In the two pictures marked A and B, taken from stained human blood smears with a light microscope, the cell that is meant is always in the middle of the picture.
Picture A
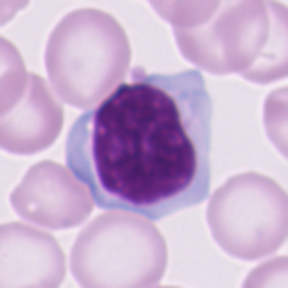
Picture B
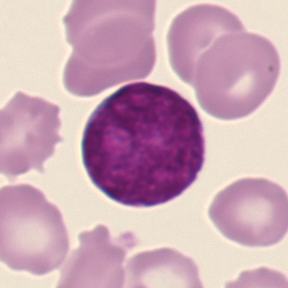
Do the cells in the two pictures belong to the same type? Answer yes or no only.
no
